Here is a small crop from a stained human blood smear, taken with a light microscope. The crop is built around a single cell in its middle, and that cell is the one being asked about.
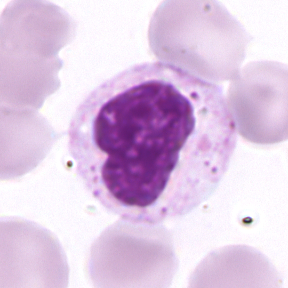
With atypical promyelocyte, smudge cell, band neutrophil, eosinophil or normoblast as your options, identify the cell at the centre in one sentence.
Within this crop, a band neutrophil occupies the central position.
